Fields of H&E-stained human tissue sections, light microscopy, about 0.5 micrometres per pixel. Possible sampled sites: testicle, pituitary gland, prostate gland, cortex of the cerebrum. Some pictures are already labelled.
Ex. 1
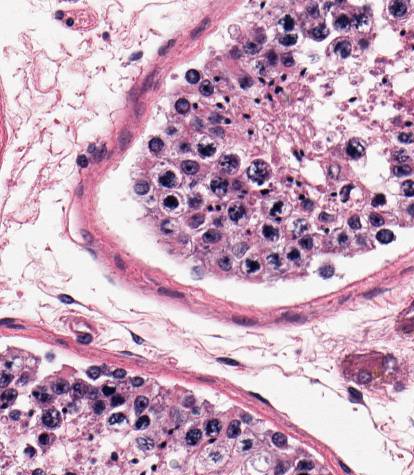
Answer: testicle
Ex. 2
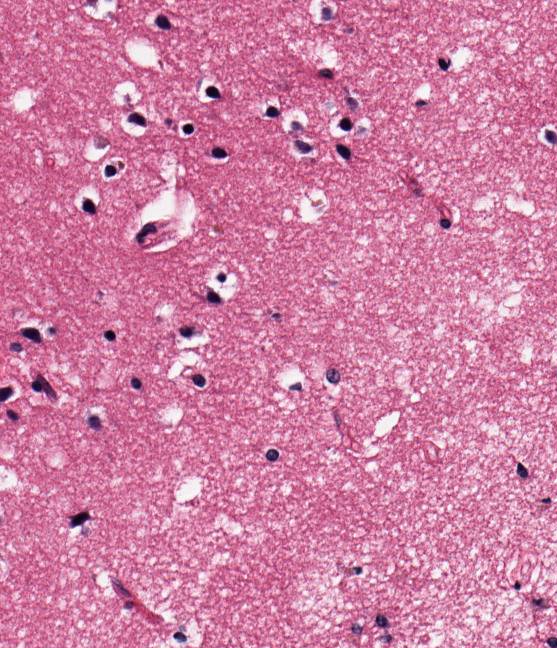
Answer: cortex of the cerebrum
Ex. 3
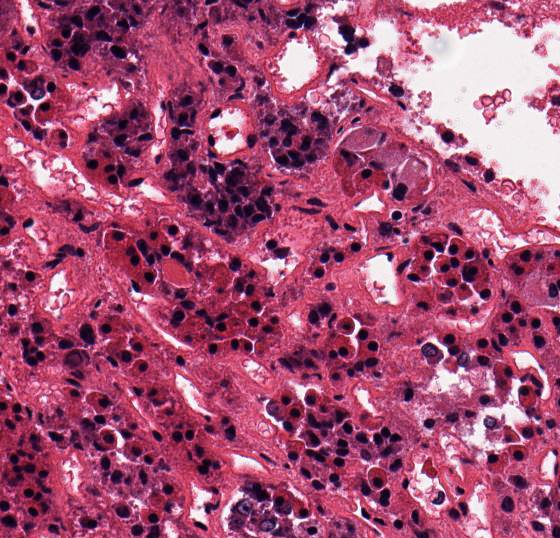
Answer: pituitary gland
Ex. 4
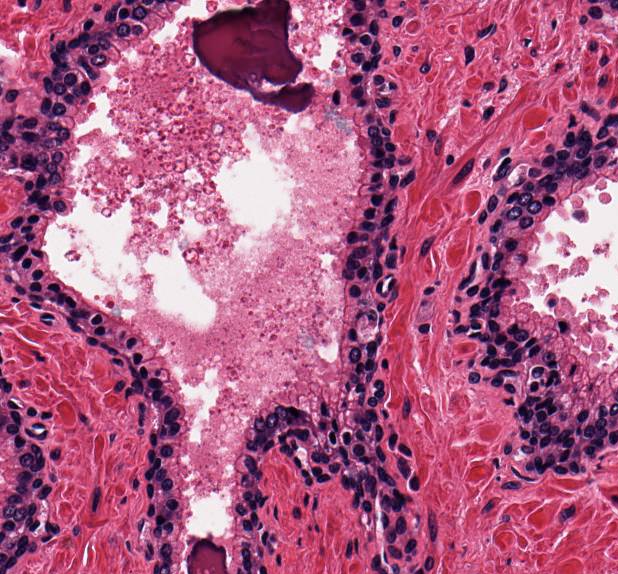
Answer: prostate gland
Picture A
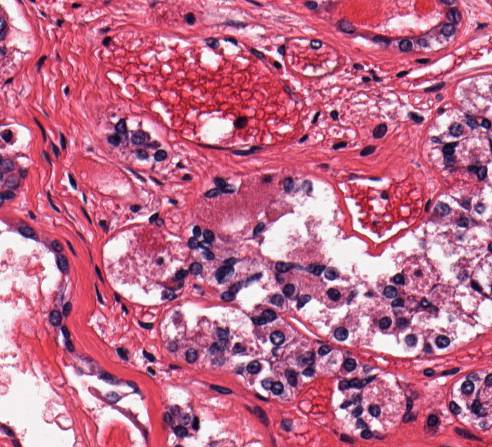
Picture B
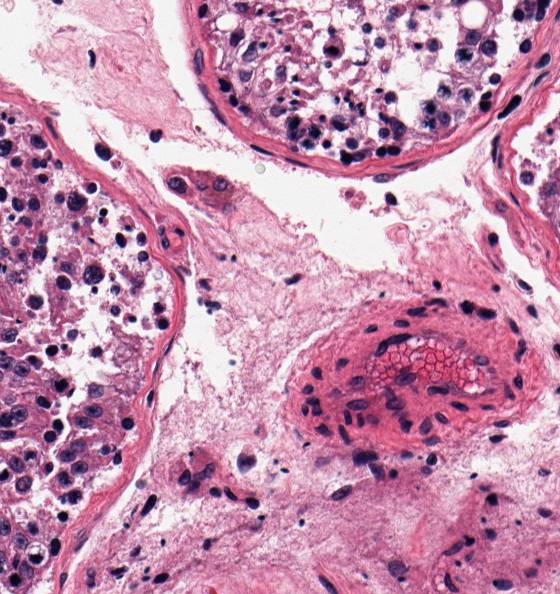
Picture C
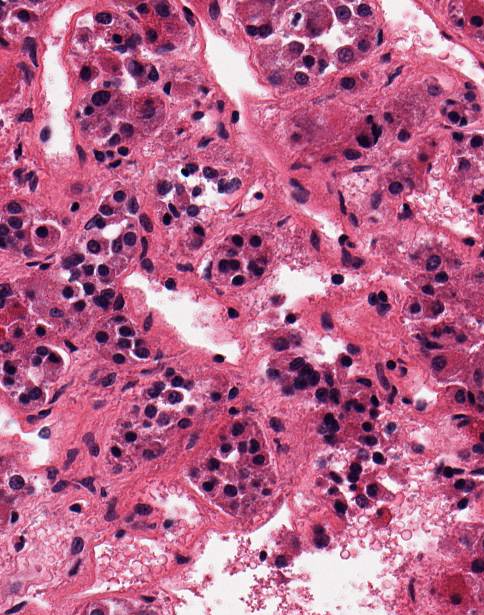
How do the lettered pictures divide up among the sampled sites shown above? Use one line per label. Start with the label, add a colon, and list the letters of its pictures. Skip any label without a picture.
testicle: B
pituitary gland: A, C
